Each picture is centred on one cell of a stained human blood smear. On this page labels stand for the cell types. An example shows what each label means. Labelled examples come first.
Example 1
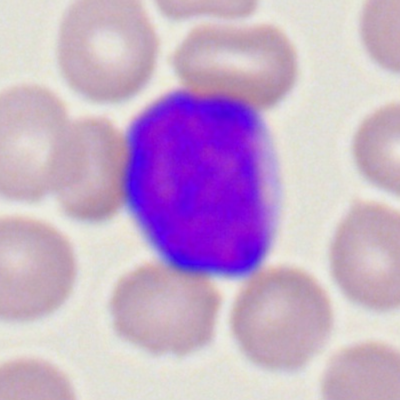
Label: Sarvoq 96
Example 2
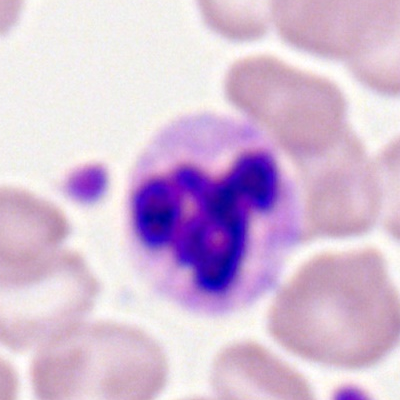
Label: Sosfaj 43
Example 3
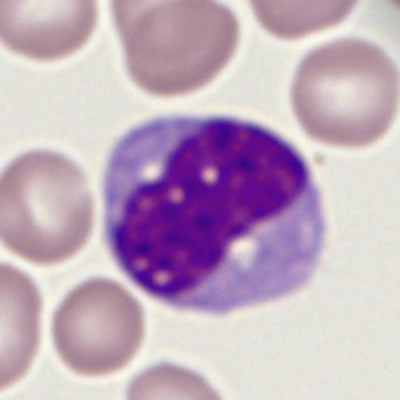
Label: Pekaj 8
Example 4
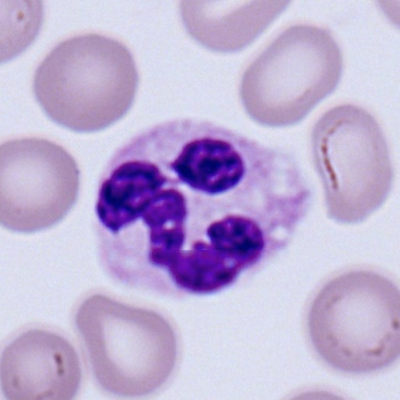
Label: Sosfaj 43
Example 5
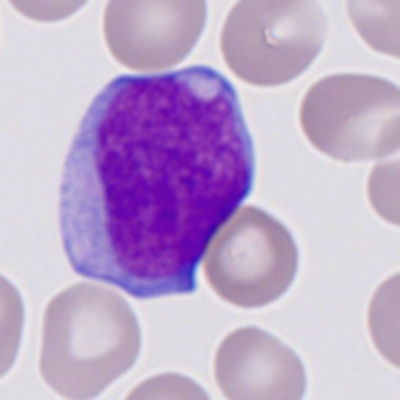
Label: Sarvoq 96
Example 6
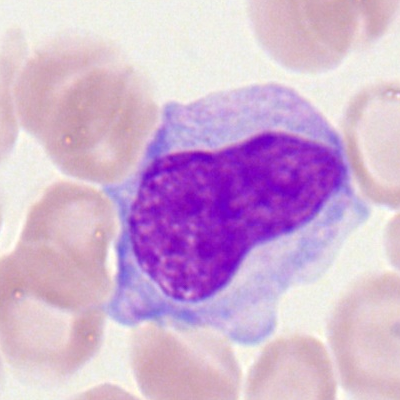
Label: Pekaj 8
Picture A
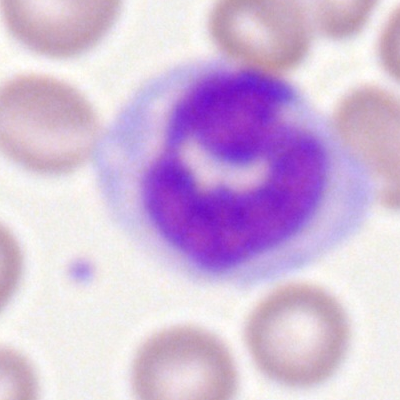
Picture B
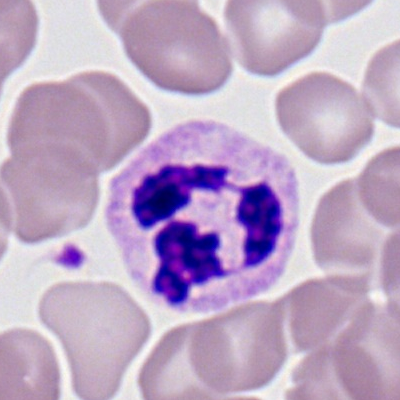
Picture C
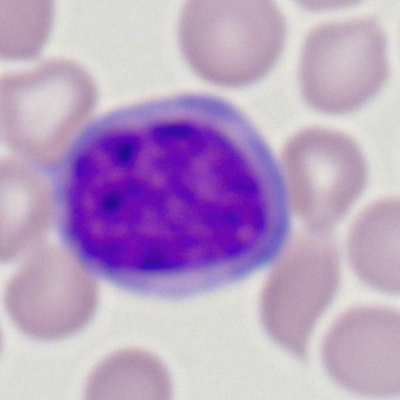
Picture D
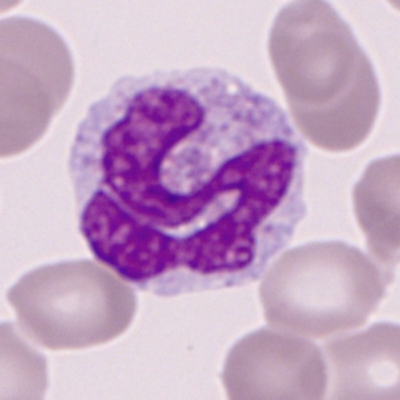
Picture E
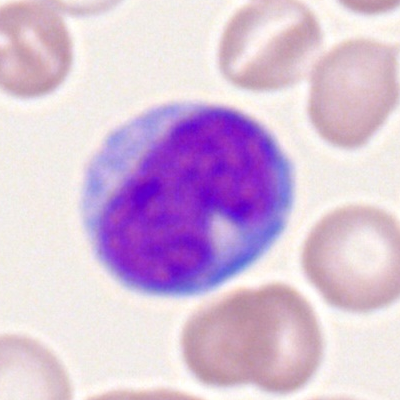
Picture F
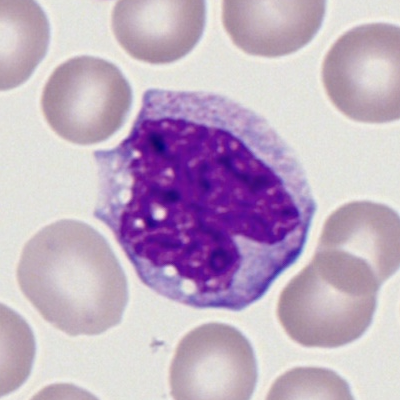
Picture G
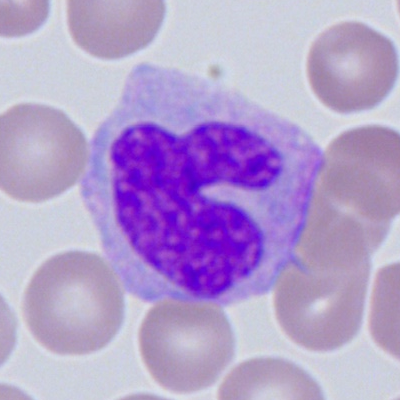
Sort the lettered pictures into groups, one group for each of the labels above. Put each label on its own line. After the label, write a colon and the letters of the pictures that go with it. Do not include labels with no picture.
Sosfaj 43: B
Pekaj 8: A, C, D, E, F, G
